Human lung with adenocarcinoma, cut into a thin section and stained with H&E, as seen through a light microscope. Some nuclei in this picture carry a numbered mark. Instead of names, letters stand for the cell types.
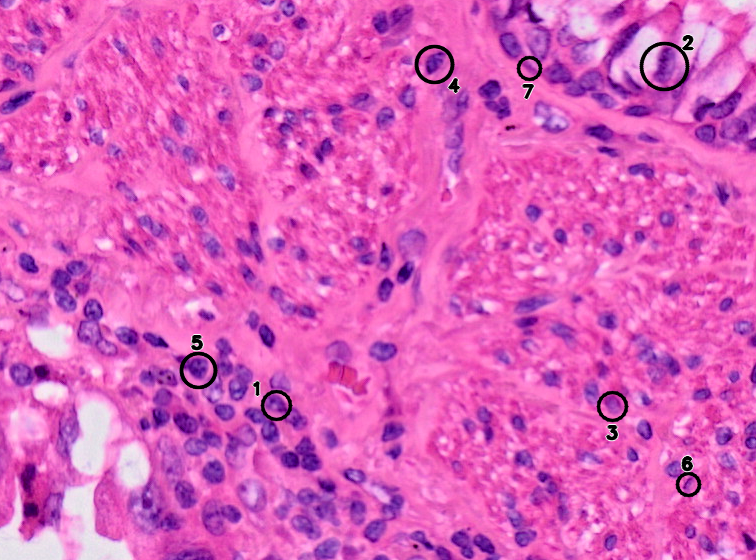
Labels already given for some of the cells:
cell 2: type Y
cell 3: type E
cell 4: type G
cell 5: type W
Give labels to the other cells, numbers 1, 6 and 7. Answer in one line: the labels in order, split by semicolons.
type W; type E; type Y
